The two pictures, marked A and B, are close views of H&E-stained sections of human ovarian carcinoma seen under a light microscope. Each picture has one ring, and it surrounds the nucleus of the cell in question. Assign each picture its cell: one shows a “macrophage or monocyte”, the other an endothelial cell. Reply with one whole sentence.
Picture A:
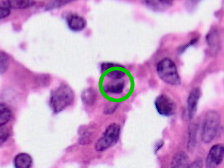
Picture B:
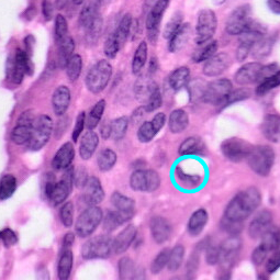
It is picture A that shows a “macrophage or monocyte”, and picture B that shows an endothelial cell.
